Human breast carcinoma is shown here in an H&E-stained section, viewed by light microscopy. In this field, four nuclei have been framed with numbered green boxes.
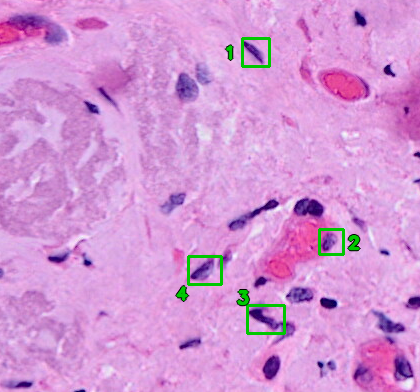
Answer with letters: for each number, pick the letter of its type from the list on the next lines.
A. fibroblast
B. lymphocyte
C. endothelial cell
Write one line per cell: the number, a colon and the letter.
1: A
2: C
3: A
4: A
